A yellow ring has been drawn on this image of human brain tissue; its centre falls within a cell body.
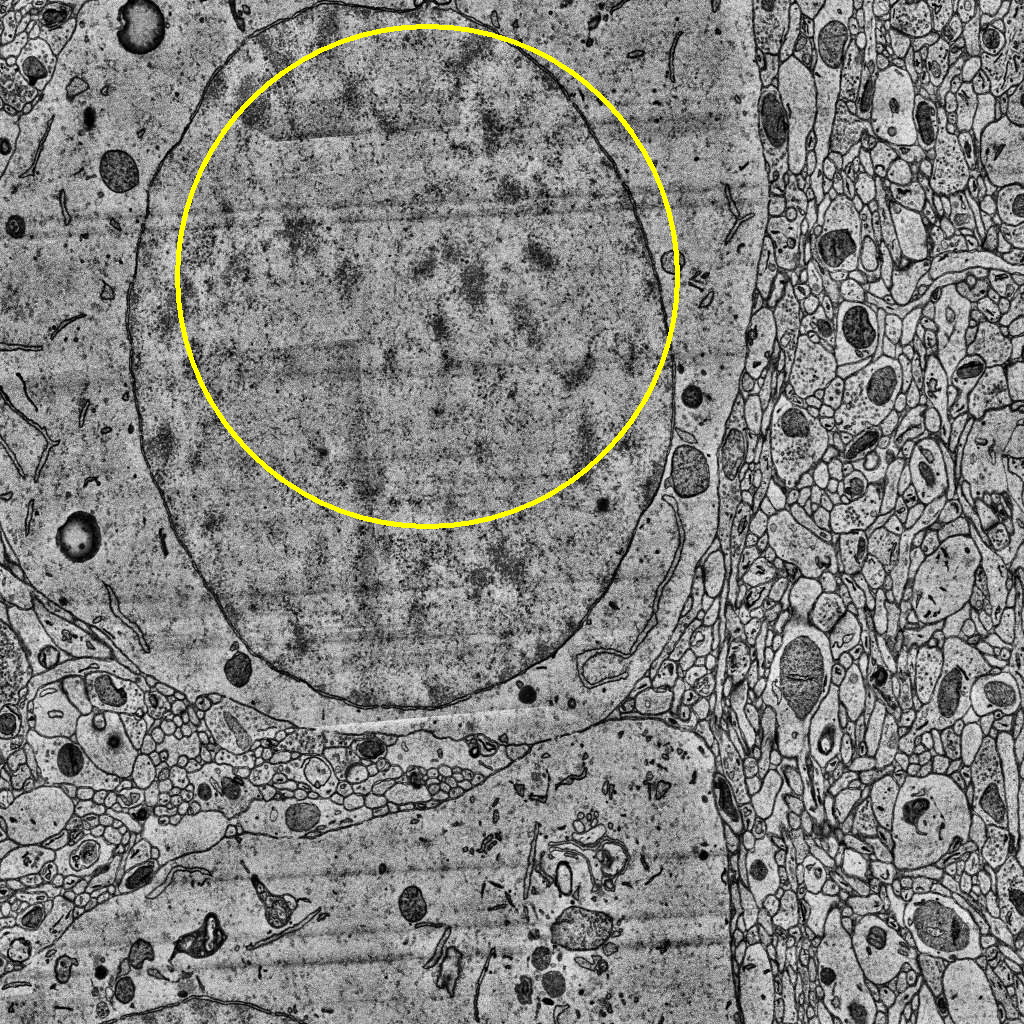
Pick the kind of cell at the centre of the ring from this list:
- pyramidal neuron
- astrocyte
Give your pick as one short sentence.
The centre of the ring holds a pyramidal neuron.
